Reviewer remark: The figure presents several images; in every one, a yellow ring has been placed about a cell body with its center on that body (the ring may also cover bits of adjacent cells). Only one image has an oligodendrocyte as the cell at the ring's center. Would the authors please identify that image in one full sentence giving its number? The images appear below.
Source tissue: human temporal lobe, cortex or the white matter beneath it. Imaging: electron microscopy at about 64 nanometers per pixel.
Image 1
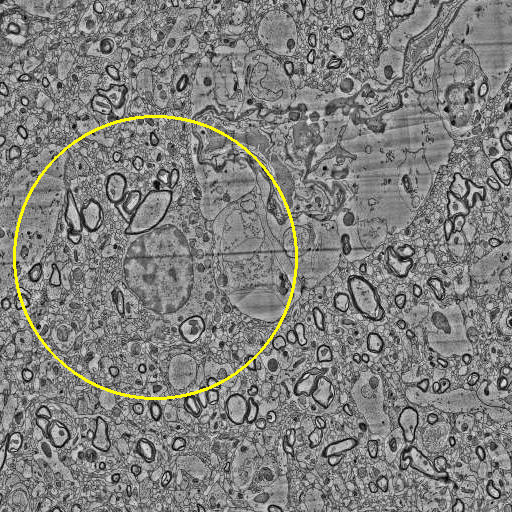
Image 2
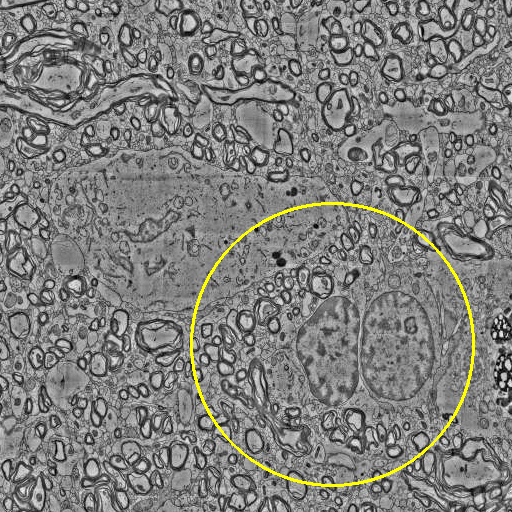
The ring's central cell in image 1 is the one the question describes.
